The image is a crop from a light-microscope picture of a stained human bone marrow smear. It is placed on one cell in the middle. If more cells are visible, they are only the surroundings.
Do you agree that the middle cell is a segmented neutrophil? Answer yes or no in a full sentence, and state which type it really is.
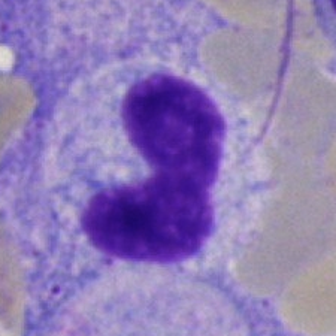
No, looking at the central cell, it is a band neutrophil rather than a segmented neutrophil.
